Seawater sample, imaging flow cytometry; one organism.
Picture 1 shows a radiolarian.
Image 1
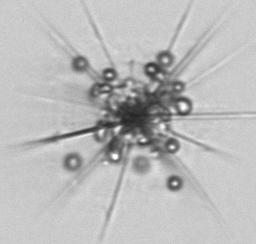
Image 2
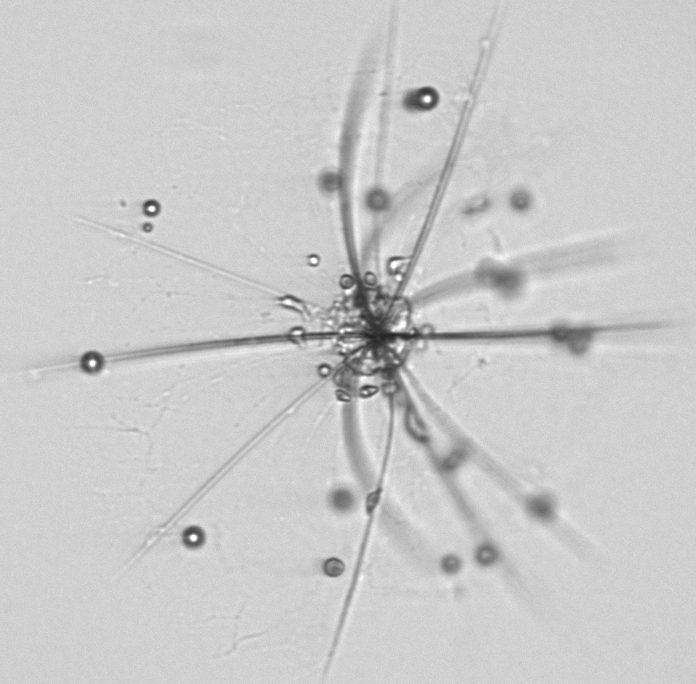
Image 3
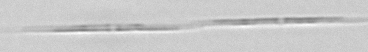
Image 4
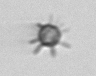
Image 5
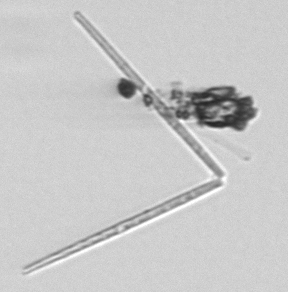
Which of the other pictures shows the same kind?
Picture 2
